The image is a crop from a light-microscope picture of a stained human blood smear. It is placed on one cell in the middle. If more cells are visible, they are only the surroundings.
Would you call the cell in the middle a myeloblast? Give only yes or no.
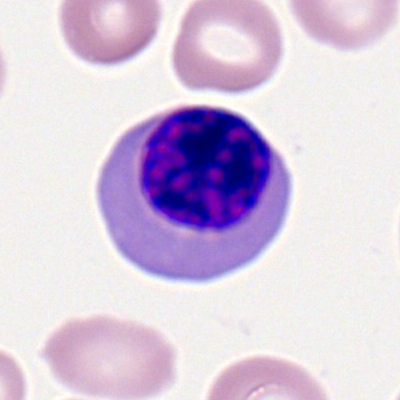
no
